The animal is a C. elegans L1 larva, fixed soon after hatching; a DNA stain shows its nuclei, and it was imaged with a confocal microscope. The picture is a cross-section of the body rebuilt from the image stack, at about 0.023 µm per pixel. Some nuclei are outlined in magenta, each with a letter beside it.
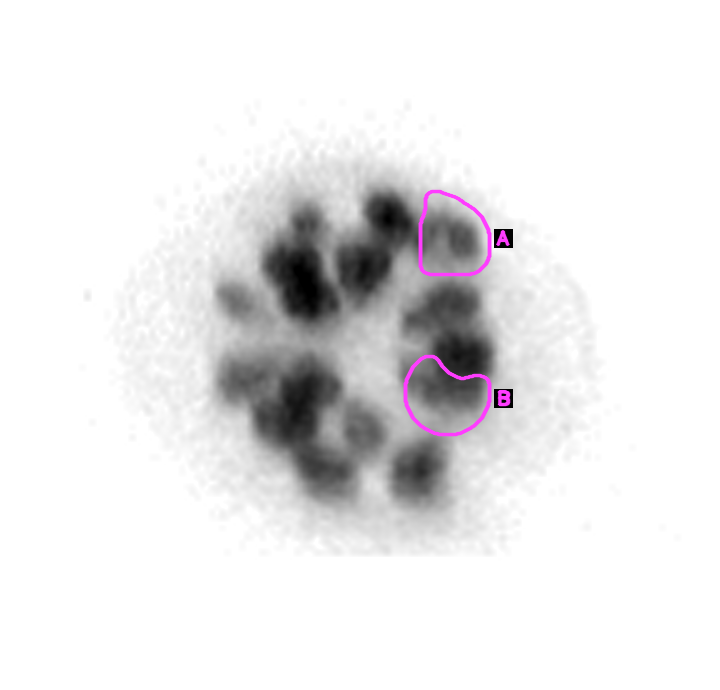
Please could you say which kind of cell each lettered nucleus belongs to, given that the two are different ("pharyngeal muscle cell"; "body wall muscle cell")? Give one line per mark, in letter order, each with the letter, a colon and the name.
A: body wall muscle cell
B: pharyngeal muscle cell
